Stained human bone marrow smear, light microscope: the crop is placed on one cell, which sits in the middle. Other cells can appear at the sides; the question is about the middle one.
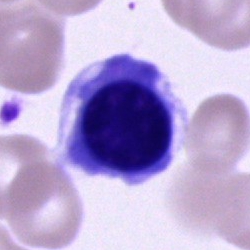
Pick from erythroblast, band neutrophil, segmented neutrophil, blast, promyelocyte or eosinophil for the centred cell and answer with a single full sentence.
The cell at the central position in this crop is an erythroblast.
